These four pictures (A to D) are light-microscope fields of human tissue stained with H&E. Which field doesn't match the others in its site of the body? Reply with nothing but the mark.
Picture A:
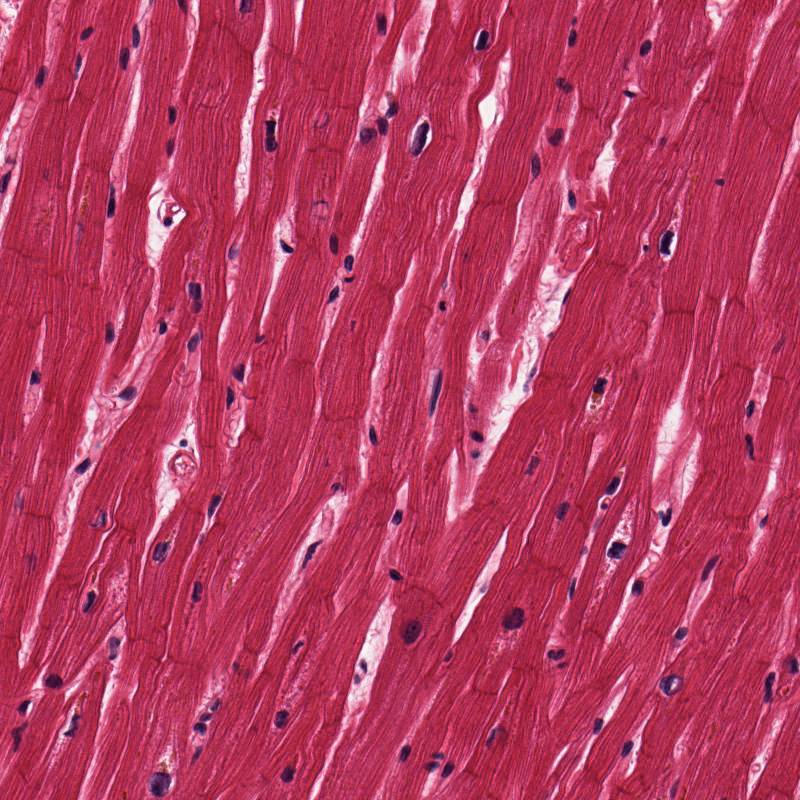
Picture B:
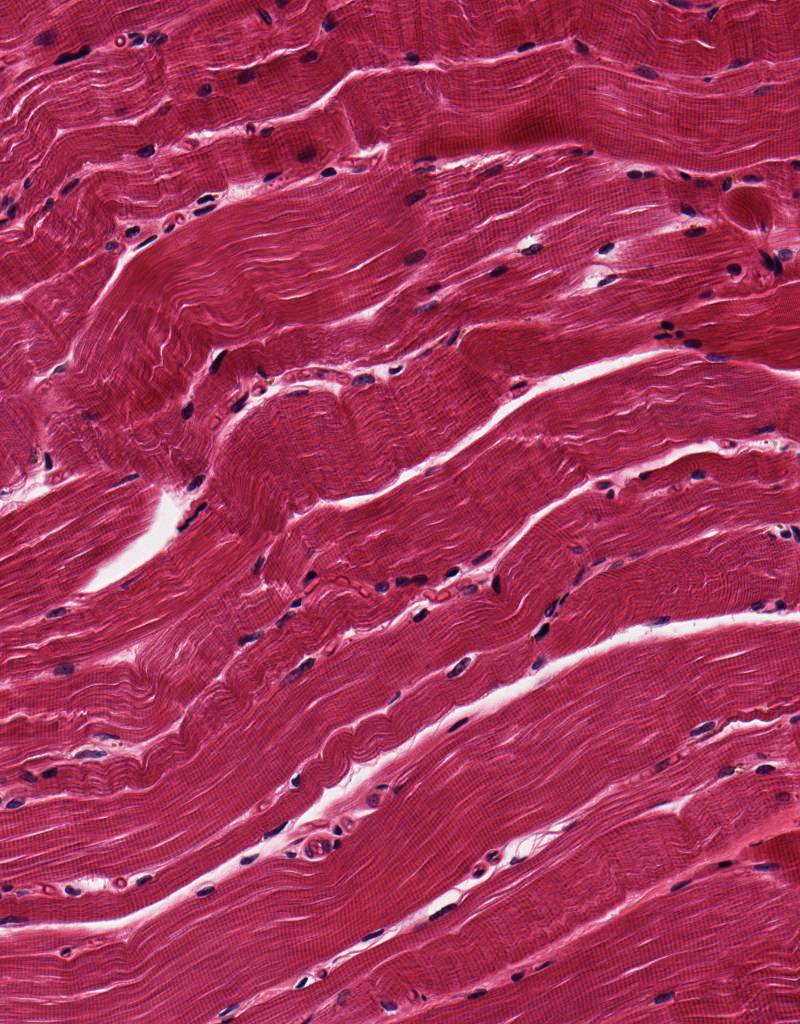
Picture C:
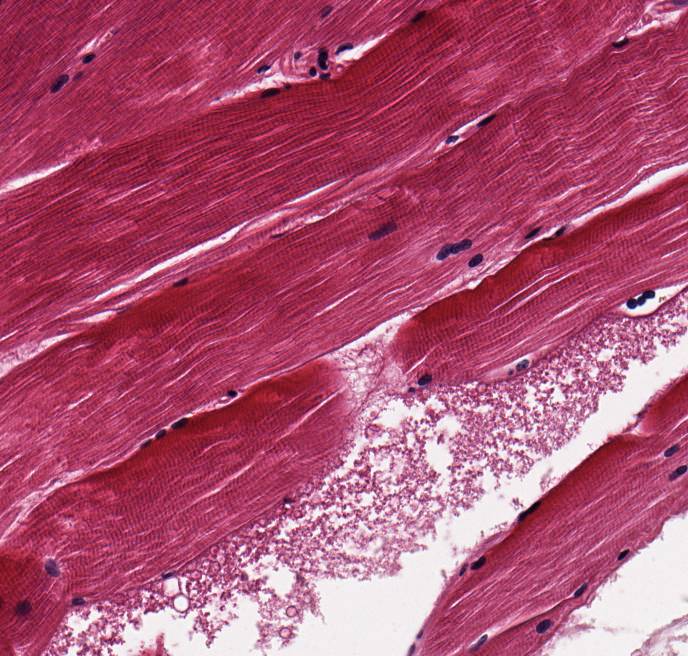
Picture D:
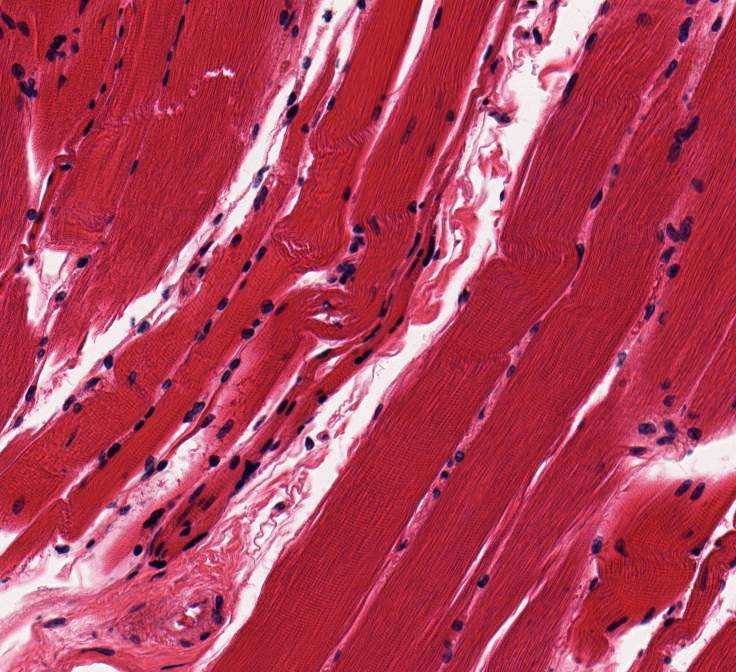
A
